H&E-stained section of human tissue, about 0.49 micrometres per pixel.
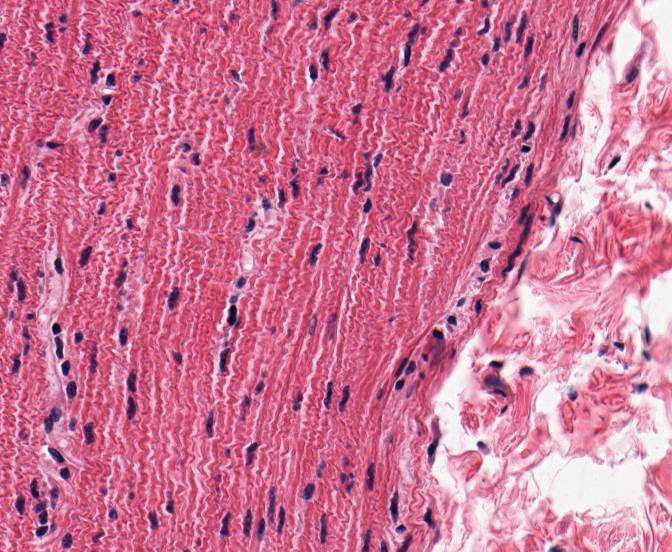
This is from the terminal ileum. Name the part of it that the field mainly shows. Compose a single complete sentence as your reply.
The part in view in this section is smooth muscle.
